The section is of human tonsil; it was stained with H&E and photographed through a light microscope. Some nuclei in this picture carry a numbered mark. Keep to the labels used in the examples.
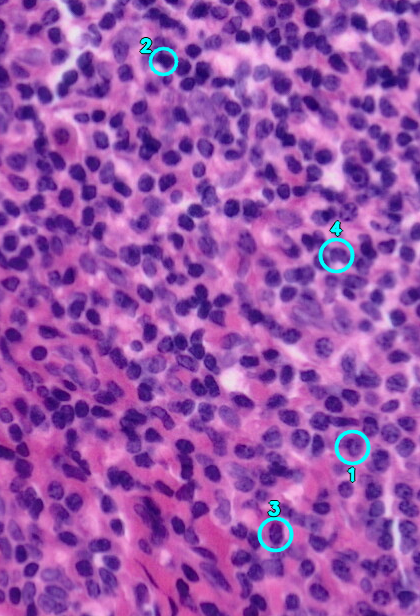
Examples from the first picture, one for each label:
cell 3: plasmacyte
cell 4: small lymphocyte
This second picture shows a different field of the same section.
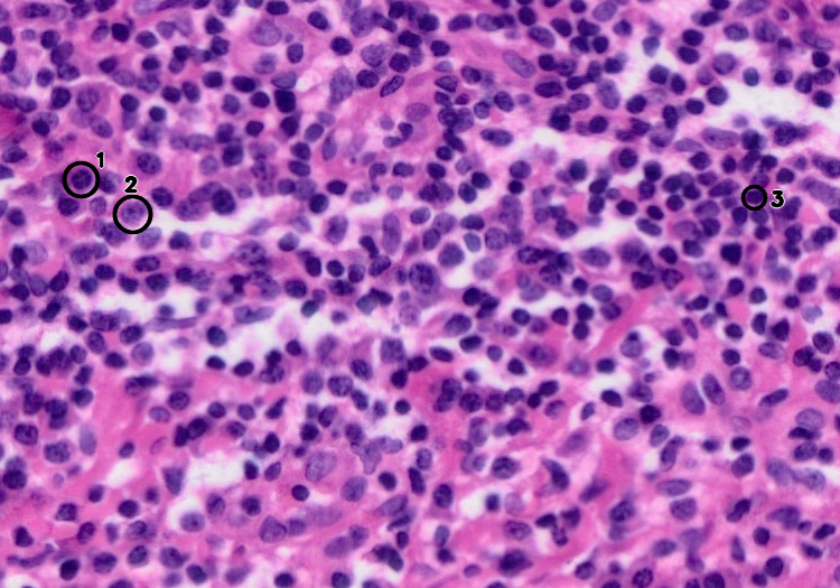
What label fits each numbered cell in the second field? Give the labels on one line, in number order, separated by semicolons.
plasmacyte; plasmacyte; small lymphocyte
